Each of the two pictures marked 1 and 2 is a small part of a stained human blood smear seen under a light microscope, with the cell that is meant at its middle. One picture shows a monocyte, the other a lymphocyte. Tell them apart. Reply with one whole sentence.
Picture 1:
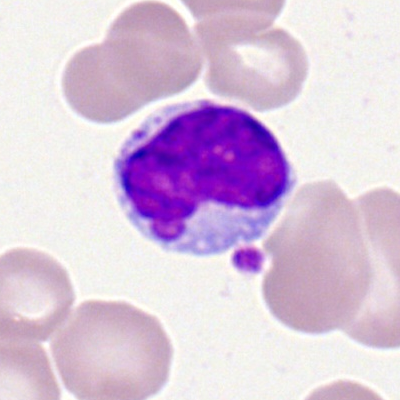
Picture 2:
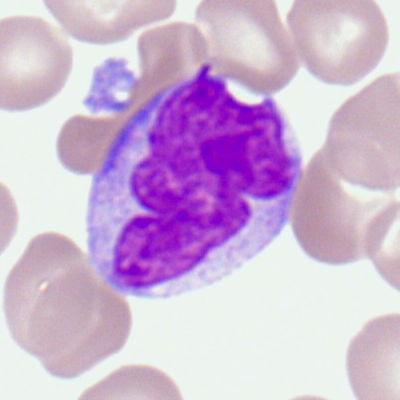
The cell in picture 1 is a lymphocyte, and the one in picture 2 is a monocyte.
